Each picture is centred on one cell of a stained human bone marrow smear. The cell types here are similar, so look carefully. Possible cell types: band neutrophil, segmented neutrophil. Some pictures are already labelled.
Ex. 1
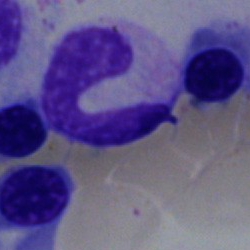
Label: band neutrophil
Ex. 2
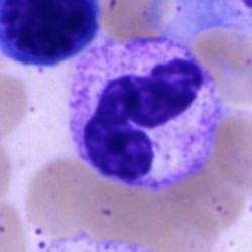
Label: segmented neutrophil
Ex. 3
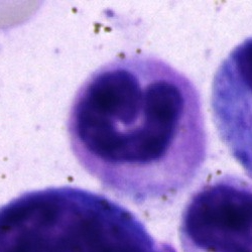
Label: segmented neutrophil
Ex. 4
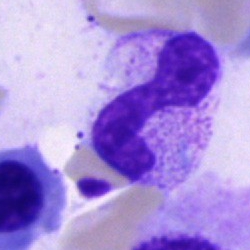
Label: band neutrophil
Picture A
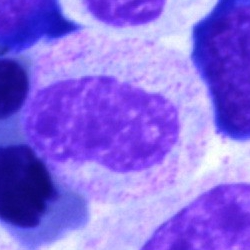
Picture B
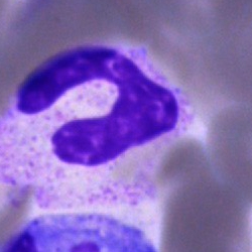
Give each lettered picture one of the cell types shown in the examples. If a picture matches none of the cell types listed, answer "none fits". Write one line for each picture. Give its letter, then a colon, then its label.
A: none fits
B: segmented neutrophil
